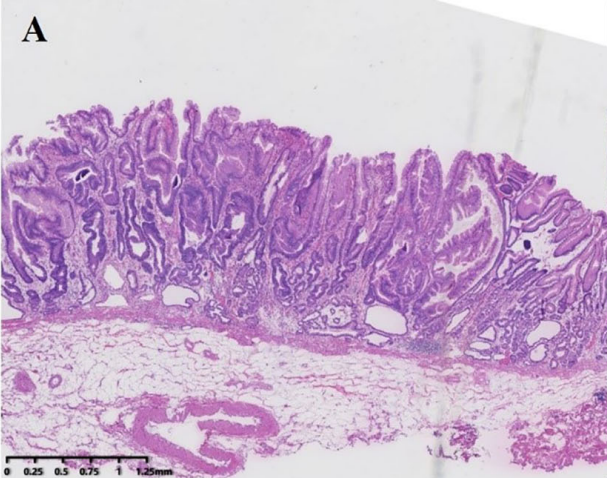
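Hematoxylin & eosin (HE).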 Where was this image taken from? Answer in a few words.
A: confined to the mucosal layer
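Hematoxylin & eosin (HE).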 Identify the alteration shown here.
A: Serrated and slit-like alterations.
